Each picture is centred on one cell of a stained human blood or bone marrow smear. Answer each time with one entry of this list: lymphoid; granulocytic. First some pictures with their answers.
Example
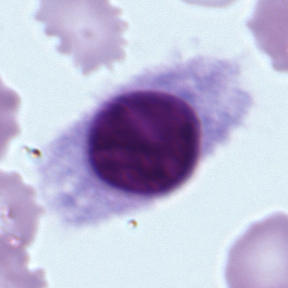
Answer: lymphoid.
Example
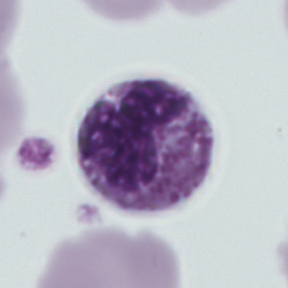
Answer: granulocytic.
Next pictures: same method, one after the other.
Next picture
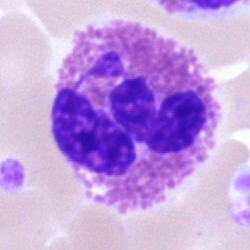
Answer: granulocytic.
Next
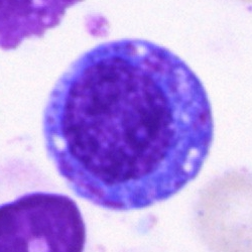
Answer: granulocytic.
